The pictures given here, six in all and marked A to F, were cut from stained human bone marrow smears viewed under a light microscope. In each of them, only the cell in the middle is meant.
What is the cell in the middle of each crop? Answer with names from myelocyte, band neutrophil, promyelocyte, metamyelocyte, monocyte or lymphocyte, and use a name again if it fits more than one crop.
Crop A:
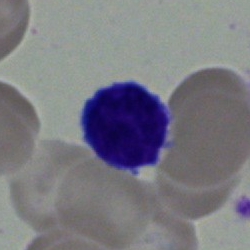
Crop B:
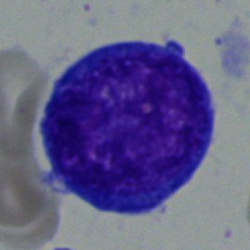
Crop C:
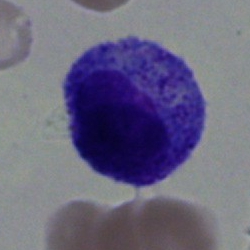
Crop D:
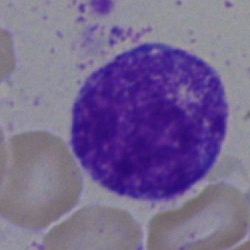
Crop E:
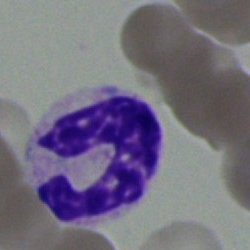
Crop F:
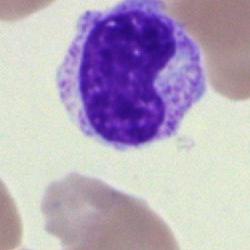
A: lymphocyte
B: promyelocyte
C: myelocyte
D: metamyelocyte
E: band neutrophil
F: metamyelocyte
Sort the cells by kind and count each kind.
metamyelocyte: 2
lymphocyte: 1
promyelocyte: 1
myelocyte: 1
band neutrophil: 1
